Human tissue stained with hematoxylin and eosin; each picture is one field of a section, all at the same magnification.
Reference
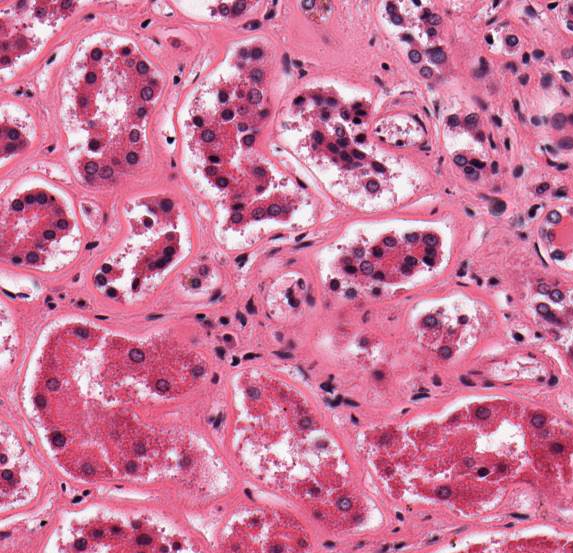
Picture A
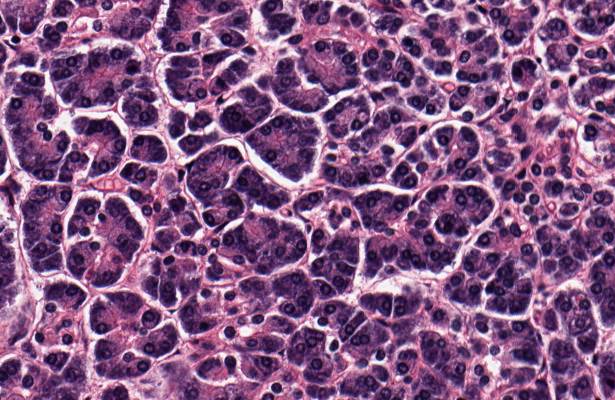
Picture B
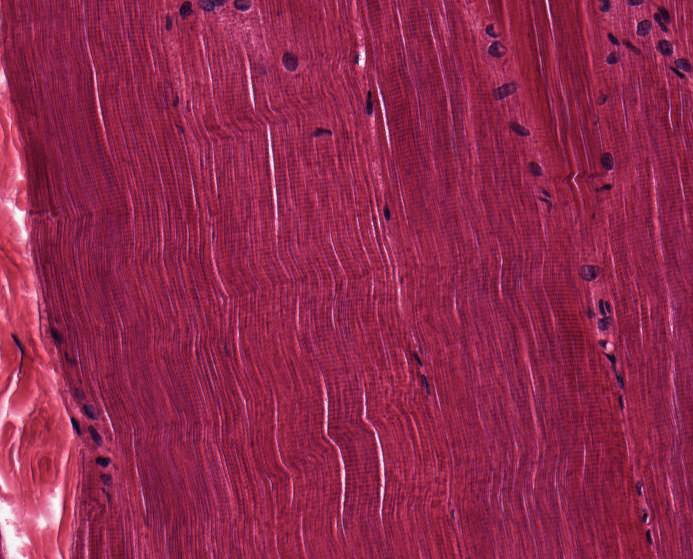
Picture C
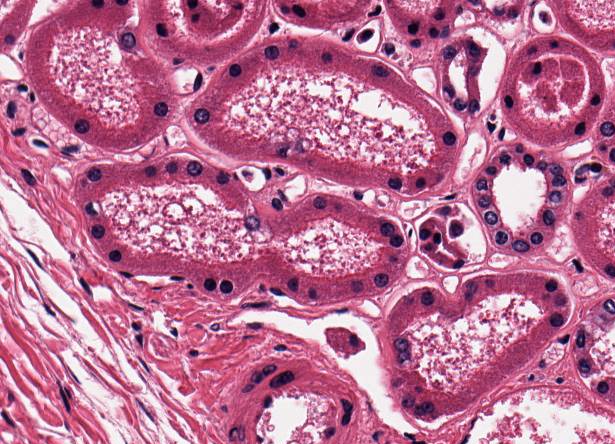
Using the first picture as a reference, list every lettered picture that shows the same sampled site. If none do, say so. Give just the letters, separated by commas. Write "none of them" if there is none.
C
